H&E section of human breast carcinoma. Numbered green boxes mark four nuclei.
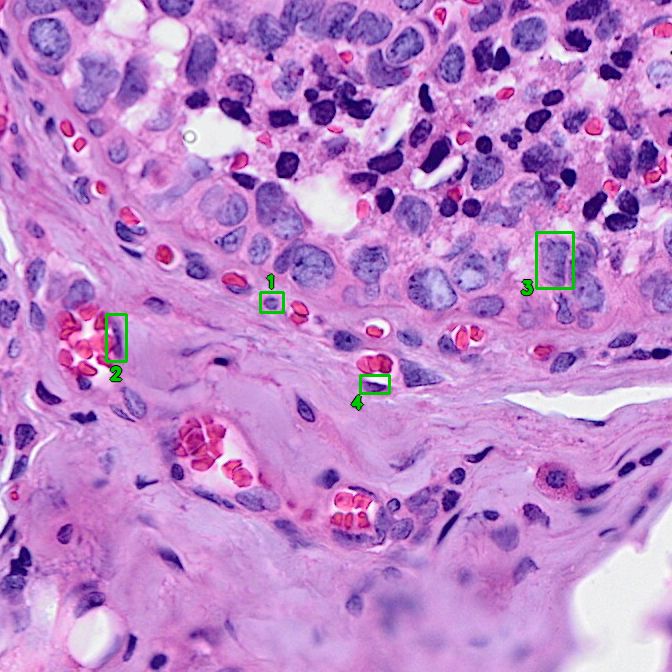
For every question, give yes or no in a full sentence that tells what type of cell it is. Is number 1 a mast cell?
Yes, cell number 1 is identified here as a mast cell.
